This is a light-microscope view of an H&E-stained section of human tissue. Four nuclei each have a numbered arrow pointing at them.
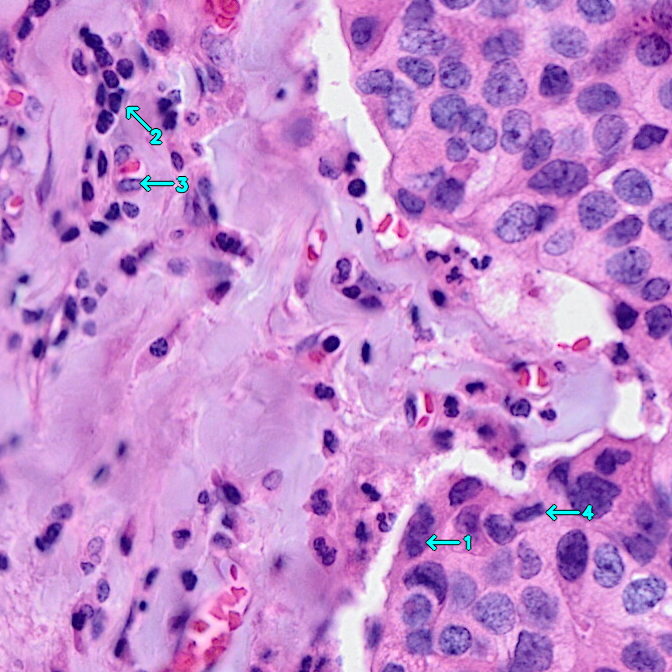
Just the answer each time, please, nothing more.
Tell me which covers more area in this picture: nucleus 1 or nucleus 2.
1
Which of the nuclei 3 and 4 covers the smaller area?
3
